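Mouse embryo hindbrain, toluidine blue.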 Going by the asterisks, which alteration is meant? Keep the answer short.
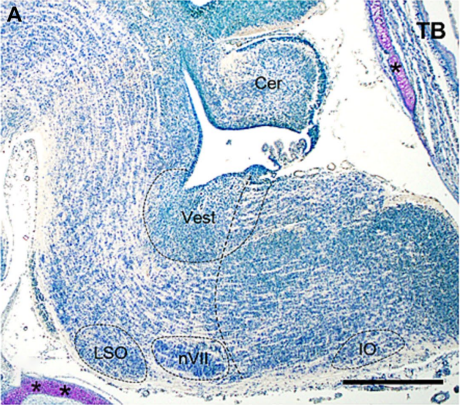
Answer: Metachromasia.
